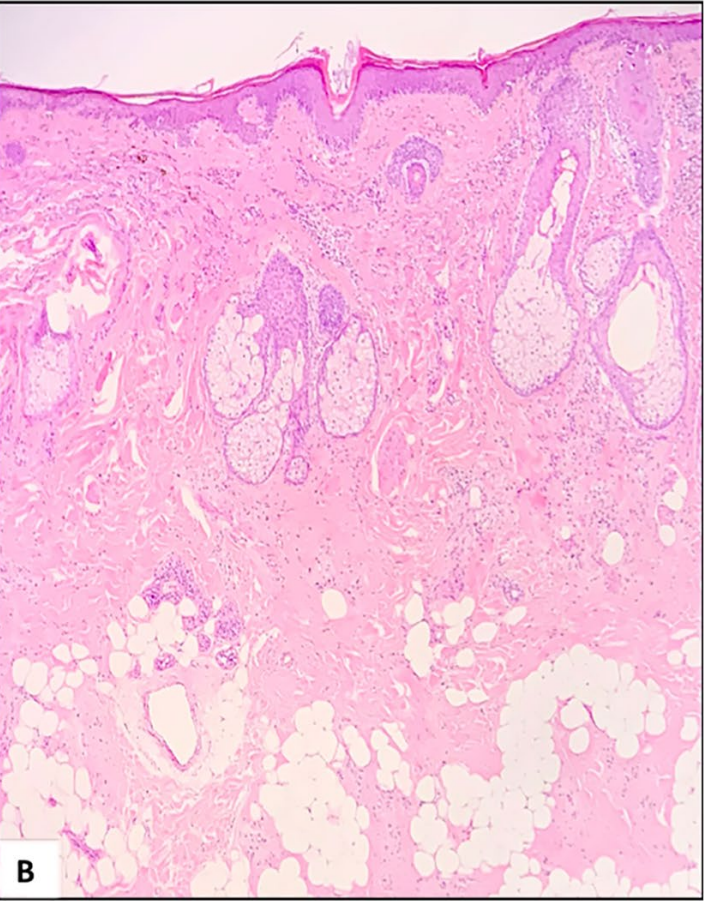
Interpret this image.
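The epidermis is a thin purple band with a flattened, slightly undulating lower border. Beneath it, the upper and mid dermis hold small hair follicles, each with large pale lobules of sebaceous glands made of foamy cells. The dermis between them is pale pink and loosely textured. Lower down, groups of clear round fat cells form the subcutis, with scattered small vessels and small clusters of gland cells among them.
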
